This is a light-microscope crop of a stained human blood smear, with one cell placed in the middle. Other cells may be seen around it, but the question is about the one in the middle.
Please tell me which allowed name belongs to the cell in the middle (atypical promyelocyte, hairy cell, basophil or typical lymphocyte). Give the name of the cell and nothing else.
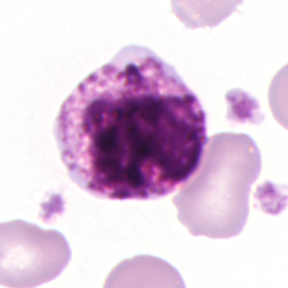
basophil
